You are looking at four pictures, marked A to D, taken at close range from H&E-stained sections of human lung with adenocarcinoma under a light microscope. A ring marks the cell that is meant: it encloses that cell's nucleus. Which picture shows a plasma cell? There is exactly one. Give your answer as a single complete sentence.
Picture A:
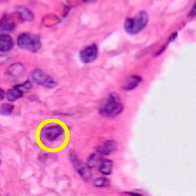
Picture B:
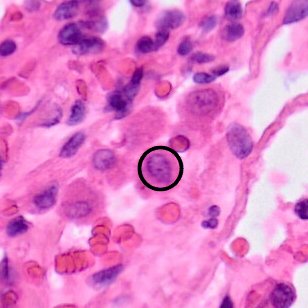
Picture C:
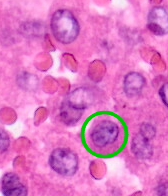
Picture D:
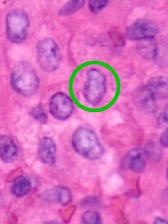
The picture with the plasma cell is A.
